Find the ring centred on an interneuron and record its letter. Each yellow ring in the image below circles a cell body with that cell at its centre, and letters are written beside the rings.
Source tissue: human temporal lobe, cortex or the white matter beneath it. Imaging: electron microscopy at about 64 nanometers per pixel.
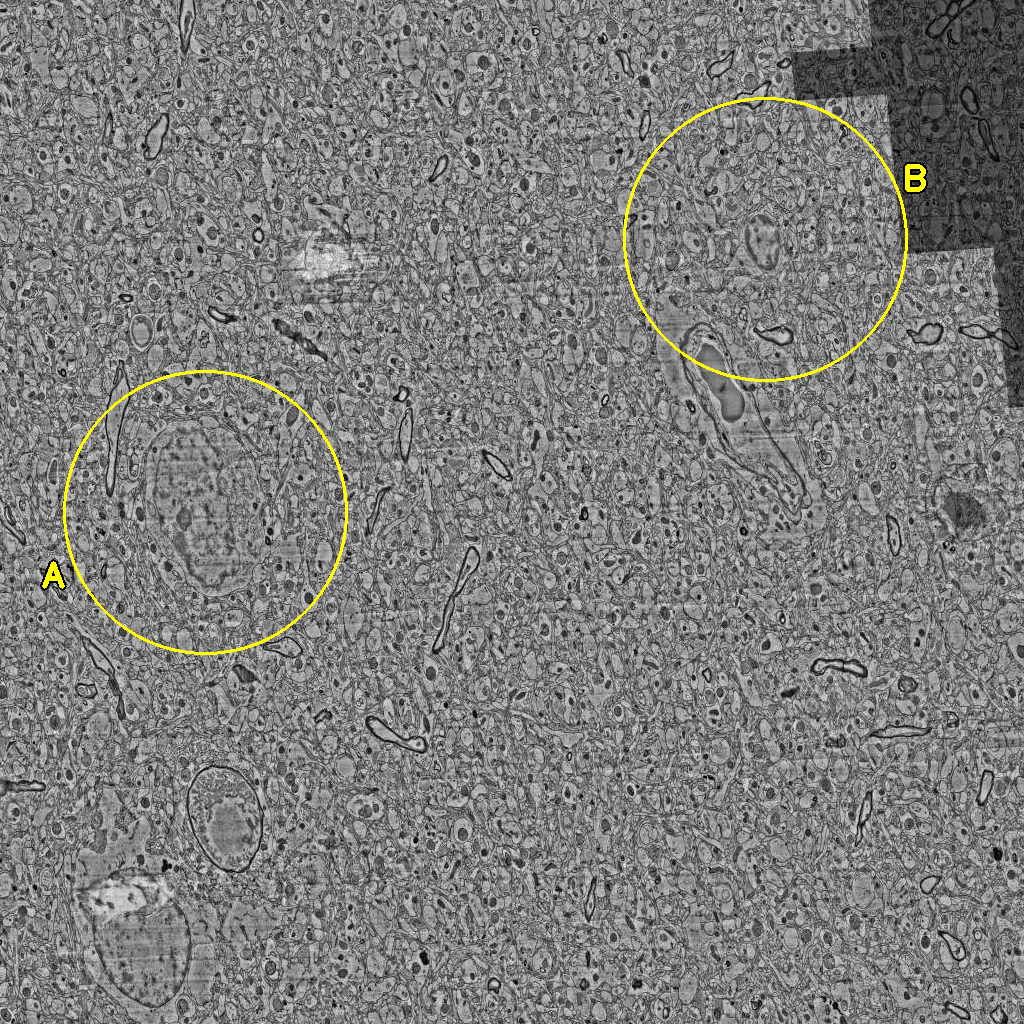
A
